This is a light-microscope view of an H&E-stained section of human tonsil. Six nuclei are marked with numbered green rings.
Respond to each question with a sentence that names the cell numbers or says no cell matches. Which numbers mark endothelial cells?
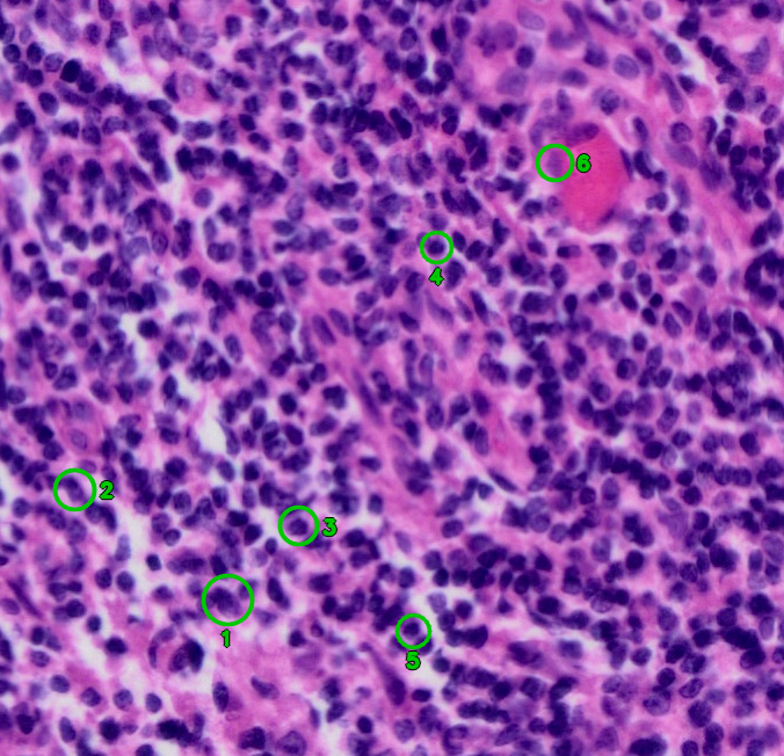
Only the cell at mark 6 is an endothelial cell, and no other marked cell is.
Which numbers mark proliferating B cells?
In contrast to the remaining marked cells, cell 1 is a proliferating B cell.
